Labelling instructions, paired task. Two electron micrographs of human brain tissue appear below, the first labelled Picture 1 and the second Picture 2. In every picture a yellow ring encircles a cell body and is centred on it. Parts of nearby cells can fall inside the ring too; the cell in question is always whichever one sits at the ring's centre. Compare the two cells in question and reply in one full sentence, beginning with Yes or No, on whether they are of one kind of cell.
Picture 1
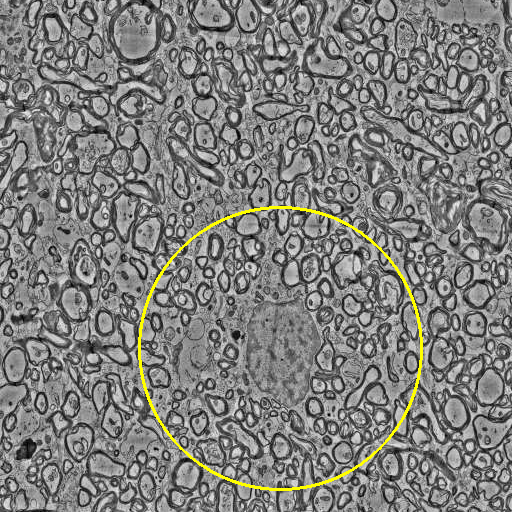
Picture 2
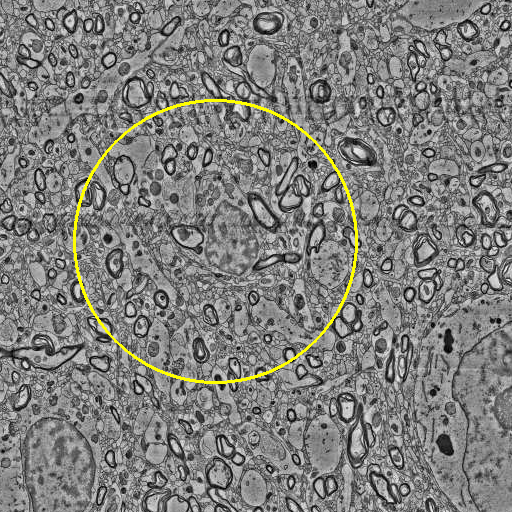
Yes, the two cells at the ring centres in Picture 1 and Picture 2 are of one kind.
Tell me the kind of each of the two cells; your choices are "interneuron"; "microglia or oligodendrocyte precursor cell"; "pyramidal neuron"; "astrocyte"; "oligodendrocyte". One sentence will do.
Both pictures show an oligodendrocyte at the centre of the ring.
